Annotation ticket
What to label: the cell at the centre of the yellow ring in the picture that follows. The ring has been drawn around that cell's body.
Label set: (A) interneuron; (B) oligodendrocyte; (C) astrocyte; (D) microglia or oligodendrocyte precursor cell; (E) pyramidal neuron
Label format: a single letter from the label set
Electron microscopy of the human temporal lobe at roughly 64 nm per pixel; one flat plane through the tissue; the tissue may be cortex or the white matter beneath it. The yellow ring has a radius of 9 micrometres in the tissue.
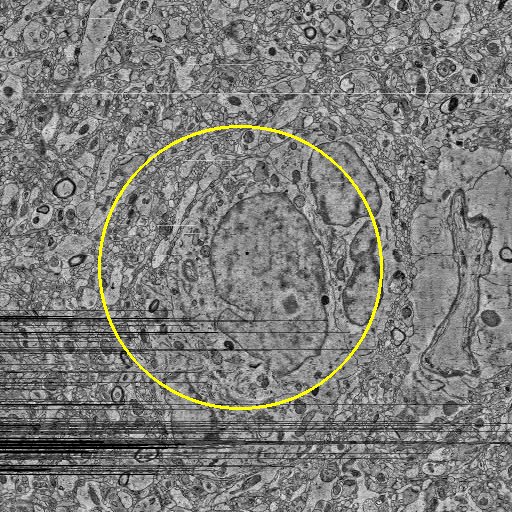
A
